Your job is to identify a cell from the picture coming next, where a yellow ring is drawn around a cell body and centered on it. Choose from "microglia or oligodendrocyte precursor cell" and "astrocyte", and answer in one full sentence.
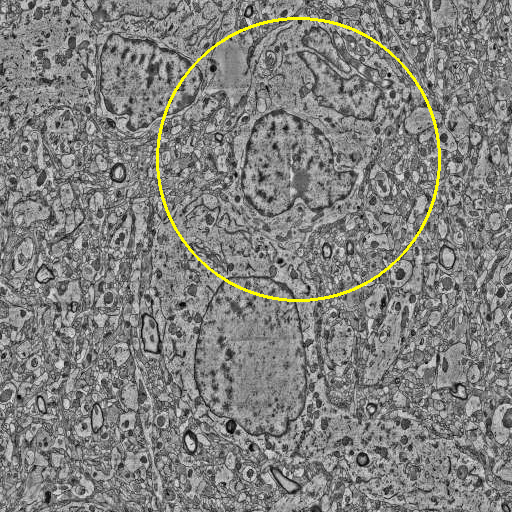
Centered in the yellow ring of the picture is the body of a microglial cell or oligodendrocyte precursor cell.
